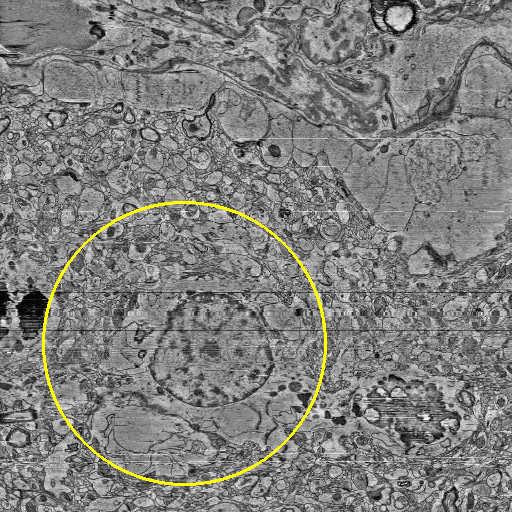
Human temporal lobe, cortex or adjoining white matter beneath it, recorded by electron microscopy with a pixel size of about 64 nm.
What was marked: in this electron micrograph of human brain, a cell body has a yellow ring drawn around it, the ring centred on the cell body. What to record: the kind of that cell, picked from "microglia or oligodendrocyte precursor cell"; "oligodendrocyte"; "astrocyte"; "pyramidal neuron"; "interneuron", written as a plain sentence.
The centred cell is an astrocyte.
